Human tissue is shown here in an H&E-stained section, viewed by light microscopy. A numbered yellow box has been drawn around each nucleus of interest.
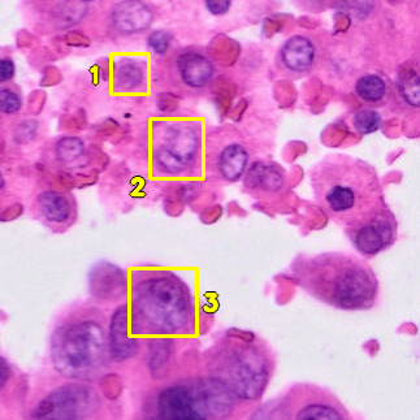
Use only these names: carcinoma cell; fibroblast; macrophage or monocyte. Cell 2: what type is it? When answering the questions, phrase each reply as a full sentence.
Cell 2 in the field is a macrophage or monocyte.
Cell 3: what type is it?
The cell that goes by number 3 is a carcinoma cell.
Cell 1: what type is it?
The marked cell with the number 1 is recognised as a macrophage or monocyte.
